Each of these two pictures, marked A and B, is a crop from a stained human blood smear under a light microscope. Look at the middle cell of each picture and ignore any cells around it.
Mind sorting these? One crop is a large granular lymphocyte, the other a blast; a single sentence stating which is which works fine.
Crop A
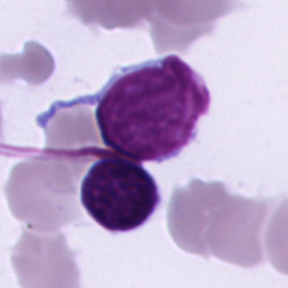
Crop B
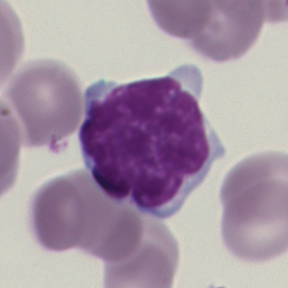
Crop A features a blast, and crop B features a large granular lymphocyte.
